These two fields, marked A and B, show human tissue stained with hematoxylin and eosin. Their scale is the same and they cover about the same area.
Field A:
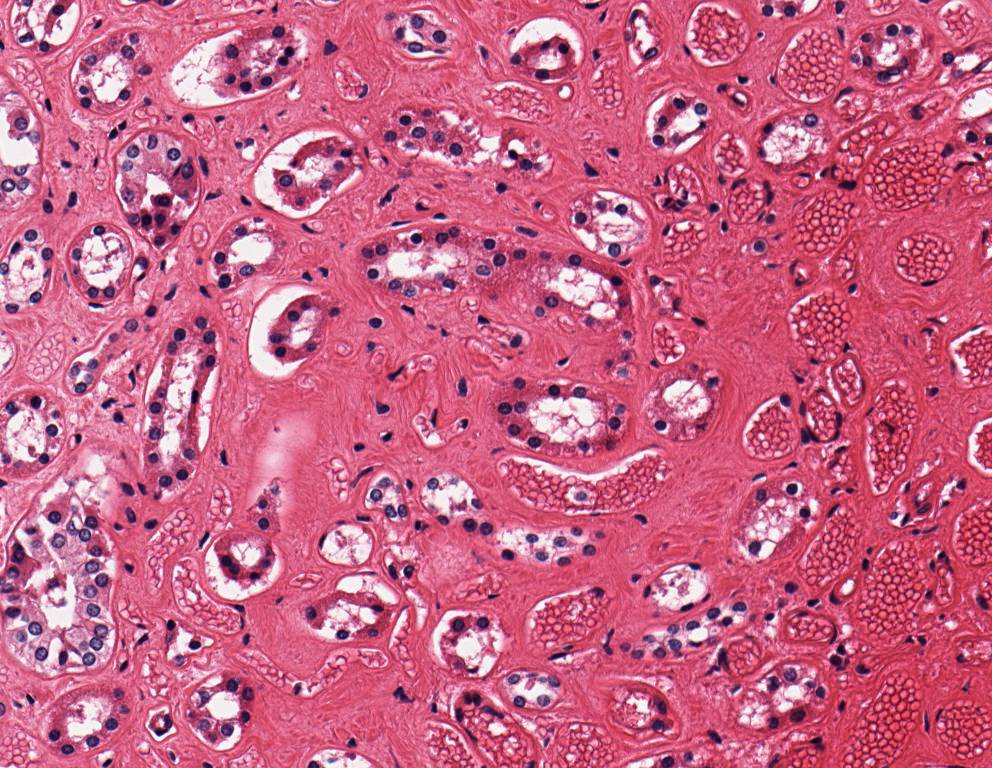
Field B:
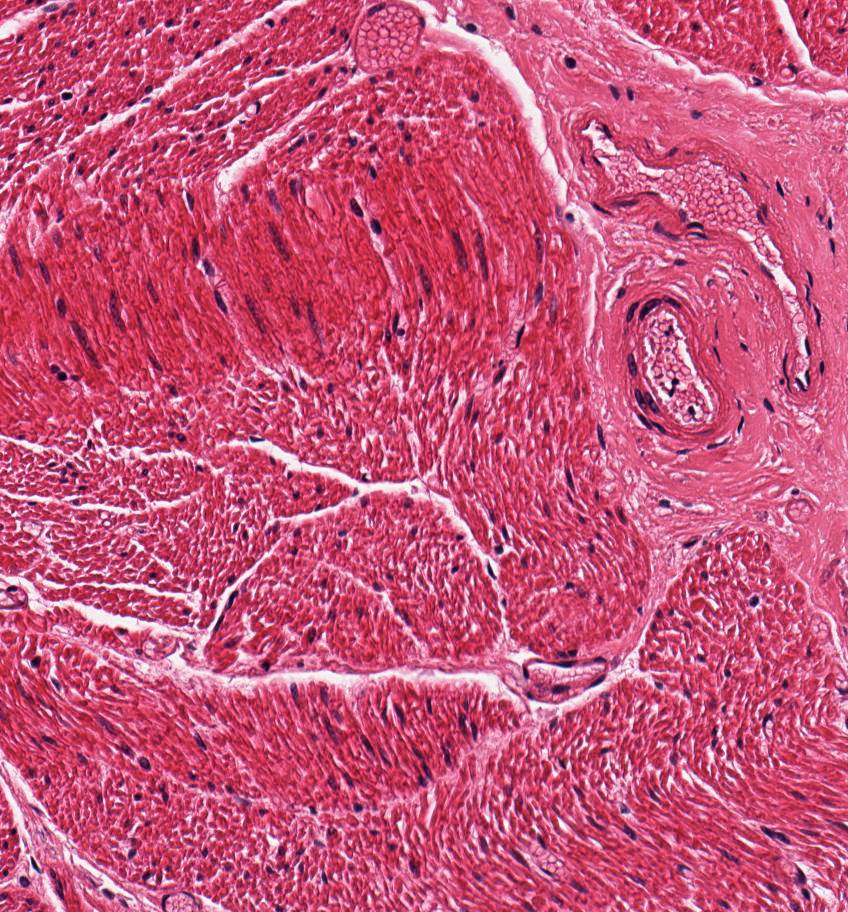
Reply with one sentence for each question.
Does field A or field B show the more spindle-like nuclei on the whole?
It is field B whose nuclei are the more elongated.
